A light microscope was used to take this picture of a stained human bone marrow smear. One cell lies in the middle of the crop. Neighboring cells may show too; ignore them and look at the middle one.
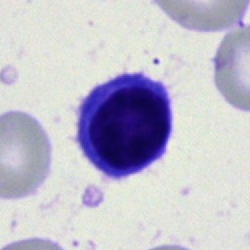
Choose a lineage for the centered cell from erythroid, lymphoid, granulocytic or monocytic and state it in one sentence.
The erythroid lineage is the lineage of the cell in the middle.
